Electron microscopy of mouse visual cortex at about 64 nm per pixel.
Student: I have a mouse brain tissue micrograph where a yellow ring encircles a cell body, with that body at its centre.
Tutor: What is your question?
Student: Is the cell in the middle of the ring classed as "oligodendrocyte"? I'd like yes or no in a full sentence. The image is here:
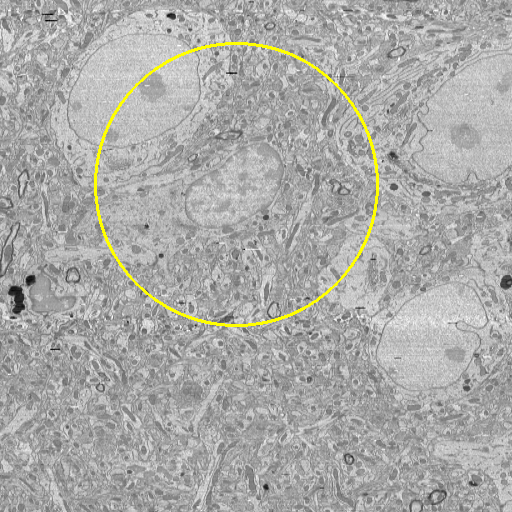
Yes, the cell in the middle of the ring is classed as that kind.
